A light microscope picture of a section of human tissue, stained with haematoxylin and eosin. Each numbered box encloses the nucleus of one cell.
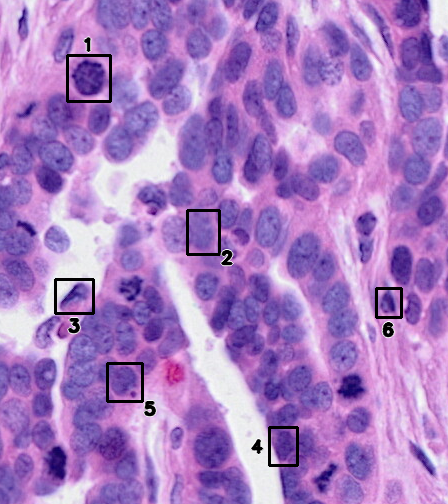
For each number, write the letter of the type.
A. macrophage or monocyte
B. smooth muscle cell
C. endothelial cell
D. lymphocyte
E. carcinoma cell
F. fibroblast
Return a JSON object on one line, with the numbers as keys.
{"1": "E", "2": "E", "3": "A", "4": "E", "5": "E", "6": "A"}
